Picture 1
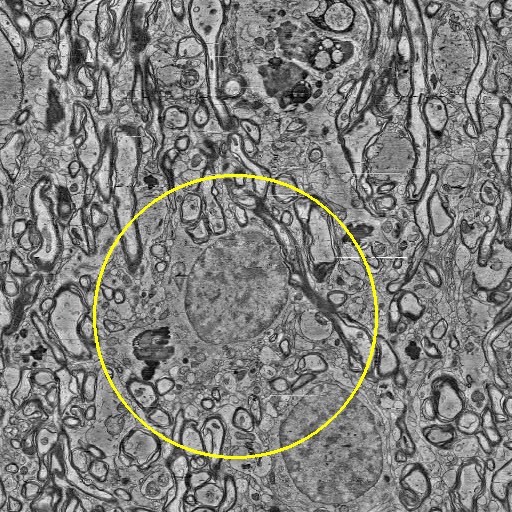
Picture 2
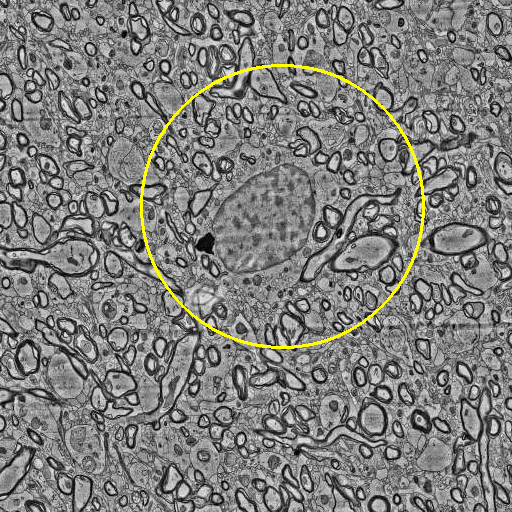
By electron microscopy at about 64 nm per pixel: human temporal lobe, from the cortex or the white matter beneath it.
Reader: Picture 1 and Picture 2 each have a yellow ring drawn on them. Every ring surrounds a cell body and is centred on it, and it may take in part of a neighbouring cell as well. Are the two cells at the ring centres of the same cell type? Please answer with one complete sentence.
Yes, both cells are of the same cell type.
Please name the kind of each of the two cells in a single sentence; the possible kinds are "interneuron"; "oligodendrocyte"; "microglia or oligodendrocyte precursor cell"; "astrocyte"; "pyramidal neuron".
In both pictures the ring is centred on an oligodendrocyte.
